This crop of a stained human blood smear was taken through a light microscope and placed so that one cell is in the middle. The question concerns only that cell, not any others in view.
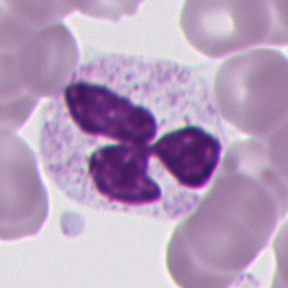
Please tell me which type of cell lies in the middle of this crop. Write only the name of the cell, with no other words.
segmented neutrophil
